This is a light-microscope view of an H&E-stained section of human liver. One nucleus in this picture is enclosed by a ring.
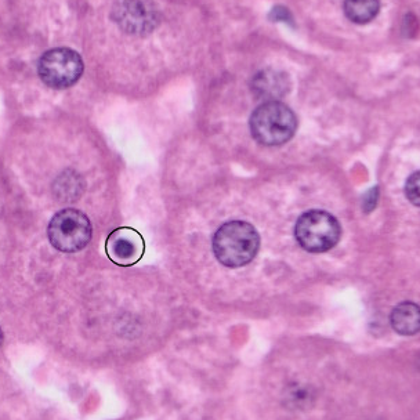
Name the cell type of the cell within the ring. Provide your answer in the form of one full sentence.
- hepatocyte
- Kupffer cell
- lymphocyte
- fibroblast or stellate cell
Recorded by type, the cell within the ring is a lymphocyte.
